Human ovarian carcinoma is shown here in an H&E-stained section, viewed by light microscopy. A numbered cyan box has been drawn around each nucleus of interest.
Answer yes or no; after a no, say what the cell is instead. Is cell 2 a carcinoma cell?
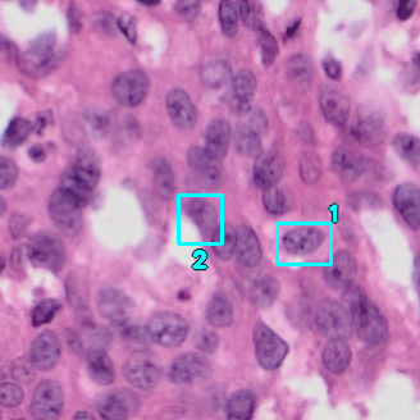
Yes.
